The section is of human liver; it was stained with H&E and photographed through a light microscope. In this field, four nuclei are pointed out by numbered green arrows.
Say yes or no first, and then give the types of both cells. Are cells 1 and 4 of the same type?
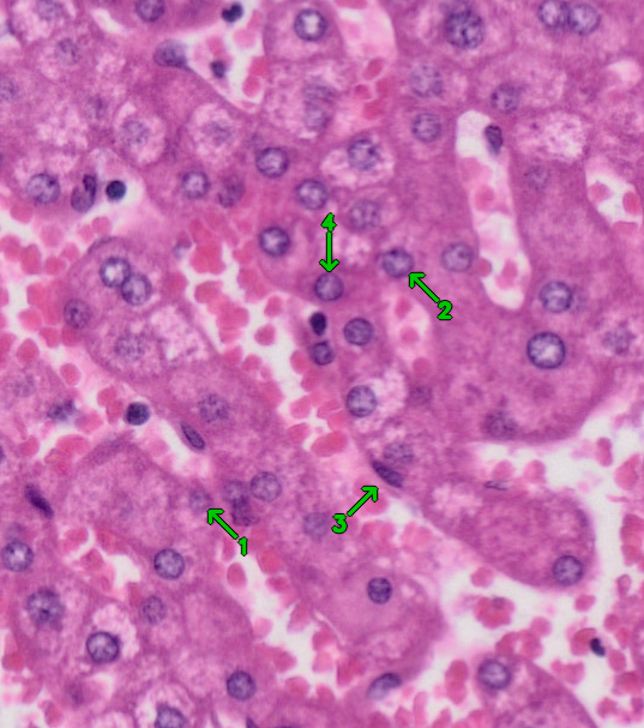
Yes, that is right: cells 1 and 4 are both hepatocytes.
